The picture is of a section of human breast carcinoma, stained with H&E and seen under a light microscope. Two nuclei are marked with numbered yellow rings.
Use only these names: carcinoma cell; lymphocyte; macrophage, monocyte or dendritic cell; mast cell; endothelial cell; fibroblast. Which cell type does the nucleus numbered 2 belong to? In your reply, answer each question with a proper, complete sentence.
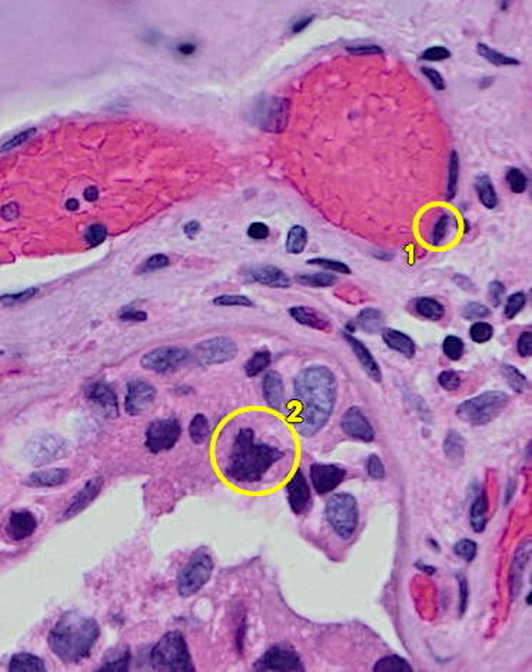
The numbered cell 2 in this field is a carcinoma cell.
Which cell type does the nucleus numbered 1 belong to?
The nucleus labeled 1 belongs to an endothelial cell.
